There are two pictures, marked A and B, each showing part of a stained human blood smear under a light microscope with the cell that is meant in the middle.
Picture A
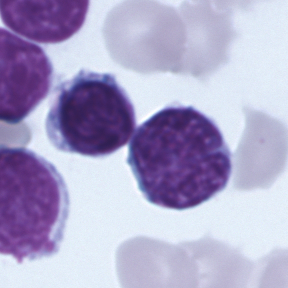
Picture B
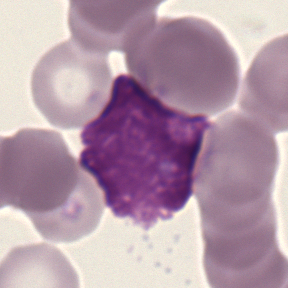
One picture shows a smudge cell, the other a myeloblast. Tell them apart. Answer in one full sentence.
Picture A is of a myeloblast, and picture B is of a smudge cell.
